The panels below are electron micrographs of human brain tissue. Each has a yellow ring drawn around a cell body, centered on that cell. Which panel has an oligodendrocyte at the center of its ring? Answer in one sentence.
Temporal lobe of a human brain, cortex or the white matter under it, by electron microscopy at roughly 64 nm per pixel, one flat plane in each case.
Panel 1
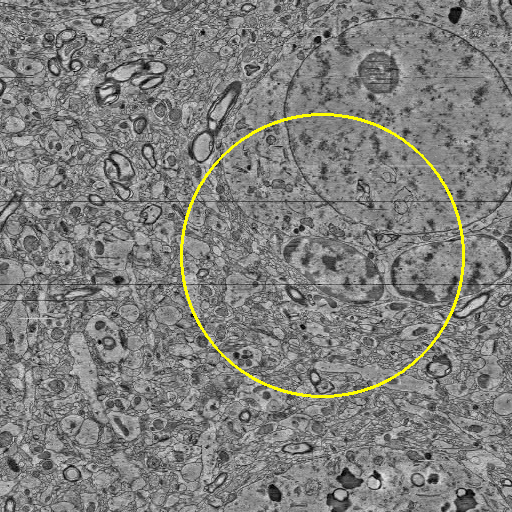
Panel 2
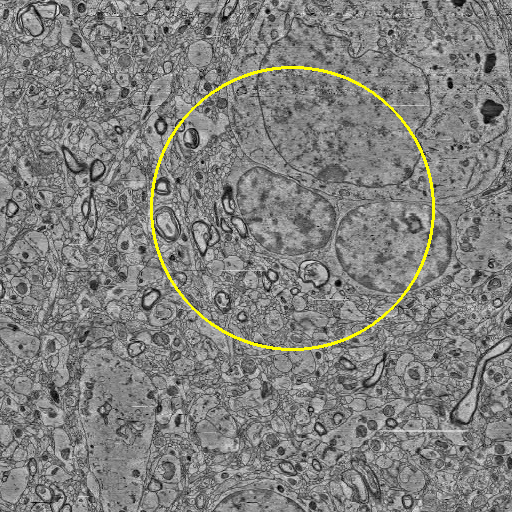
Panel 2 has it at the center of its ring.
